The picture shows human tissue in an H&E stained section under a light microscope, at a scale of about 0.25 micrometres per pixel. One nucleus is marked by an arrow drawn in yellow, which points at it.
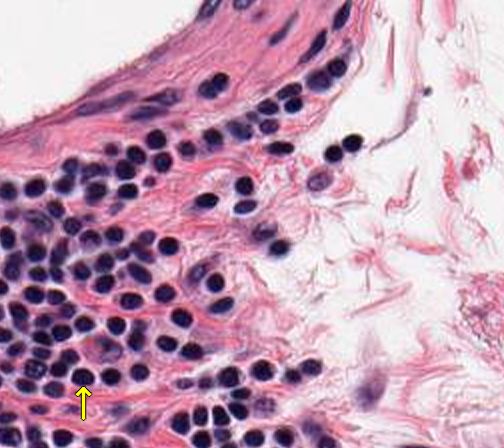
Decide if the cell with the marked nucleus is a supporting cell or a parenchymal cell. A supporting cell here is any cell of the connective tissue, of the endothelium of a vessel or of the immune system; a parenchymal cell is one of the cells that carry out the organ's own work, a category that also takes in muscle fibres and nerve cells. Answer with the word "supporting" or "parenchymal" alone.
supporting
